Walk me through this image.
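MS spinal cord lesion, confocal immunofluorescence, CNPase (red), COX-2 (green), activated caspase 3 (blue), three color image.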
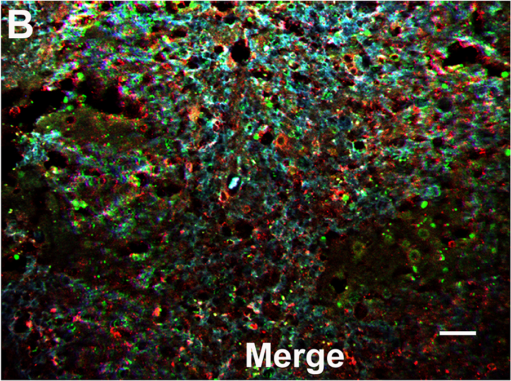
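Cells with cyan and blue branching profiles form a dense meshwork over much of the field. Red and green cell bodies and small green dots are scattered among them, and some cells look pale where the colours overlap. Darker, less labelled patches of tissue break up the field in places.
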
